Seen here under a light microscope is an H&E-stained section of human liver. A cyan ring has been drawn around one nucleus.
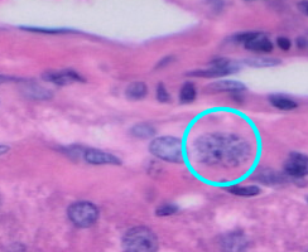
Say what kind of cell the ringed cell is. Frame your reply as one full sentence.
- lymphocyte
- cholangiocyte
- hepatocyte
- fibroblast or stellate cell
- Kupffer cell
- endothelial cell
In this section, the ringed cell is a cholangiocyte.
